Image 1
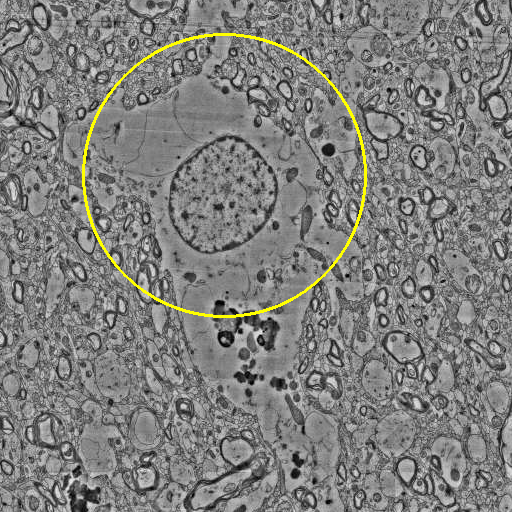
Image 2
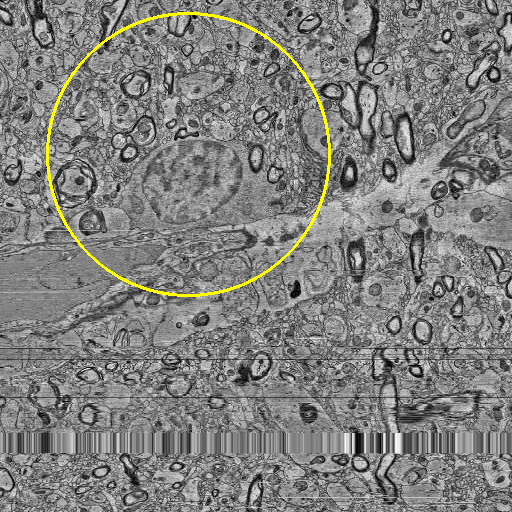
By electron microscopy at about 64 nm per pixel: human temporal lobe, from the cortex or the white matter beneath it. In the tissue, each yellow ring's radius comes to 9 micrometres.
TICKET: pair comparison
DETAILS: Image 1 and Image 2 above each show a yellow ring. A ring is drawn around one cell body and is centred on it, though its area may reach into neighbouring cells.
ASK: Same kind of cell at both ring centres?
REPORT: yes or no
no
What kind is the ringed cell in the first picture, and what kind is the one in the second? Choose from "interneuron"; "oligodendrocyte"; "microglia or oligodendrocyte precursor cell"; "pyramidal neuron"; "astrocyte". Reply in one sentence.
The first cell is an astrocyte; the second is an oligodendrocyte.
